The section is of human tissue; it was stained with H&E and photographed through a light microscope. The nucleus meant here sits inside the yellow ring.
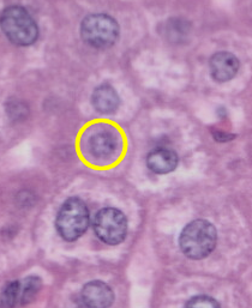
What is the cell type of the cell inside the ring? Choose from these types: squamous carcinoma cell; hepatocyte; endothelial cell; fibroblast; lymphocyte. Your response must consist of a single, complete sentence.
On this particular slide, the cell inside the ring is a hepatocyte.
